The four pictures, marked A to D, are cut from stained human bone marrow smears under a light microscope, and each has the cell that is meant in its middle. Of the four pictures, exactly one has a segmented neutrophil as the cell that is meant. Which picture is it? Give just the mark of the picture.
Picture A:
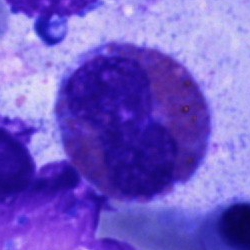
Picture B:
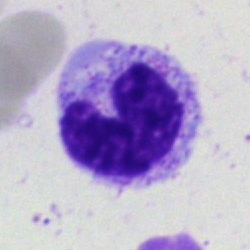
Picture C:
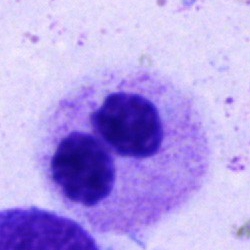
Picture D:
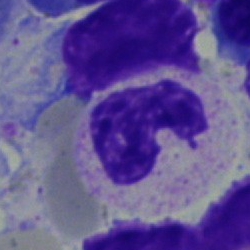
C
